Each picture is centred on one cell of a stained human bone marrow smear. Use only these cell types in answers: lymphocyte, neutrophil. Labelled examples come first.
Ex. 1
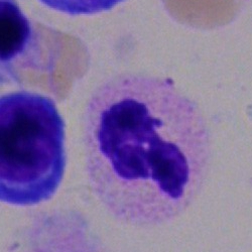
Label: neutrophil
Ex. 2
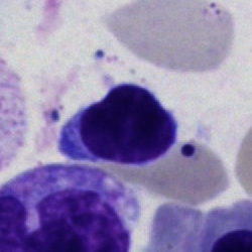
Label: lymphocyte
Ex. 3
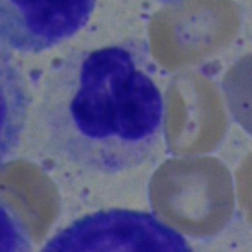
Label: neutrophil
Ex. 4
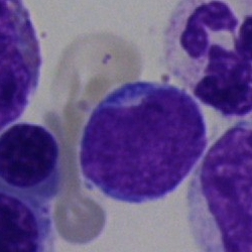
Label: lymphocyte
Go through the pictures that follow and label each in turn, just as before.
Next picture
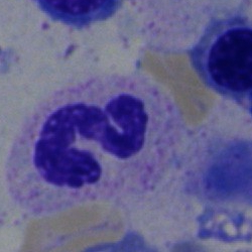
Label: neutrophil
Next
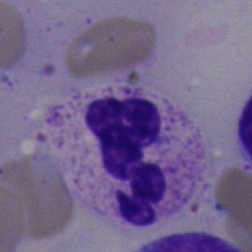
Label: neutrophil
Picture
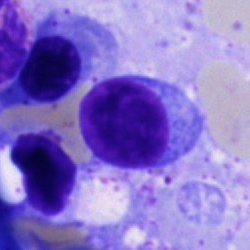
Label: lymphocyte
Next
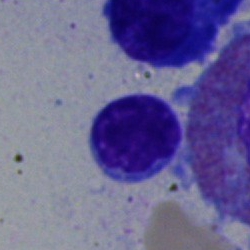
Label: lymphocyte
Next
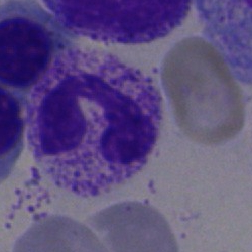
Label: neutrophil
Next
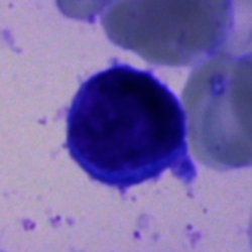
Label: lymphocyte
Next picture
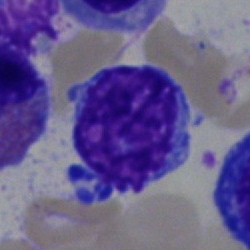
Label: lymphocyte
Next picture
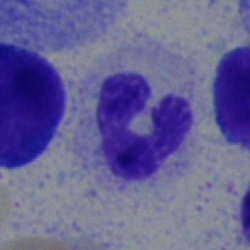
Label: neutrophil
